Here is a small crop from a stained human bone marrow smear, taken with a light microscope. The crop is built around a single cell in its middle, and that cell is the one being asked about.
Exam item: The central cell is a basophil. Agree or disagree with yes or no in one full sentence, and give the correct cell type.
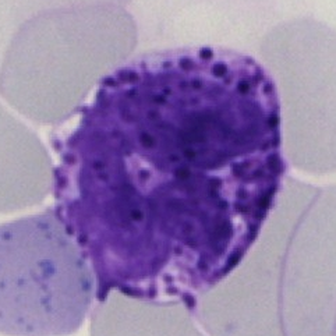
Yes, the cell at the heart of the crop is a basophil.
